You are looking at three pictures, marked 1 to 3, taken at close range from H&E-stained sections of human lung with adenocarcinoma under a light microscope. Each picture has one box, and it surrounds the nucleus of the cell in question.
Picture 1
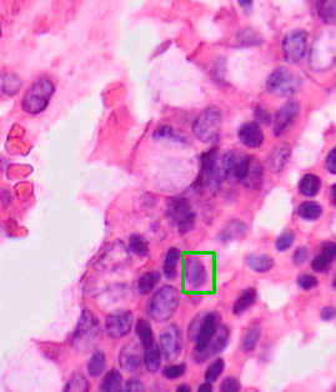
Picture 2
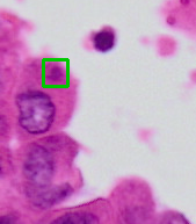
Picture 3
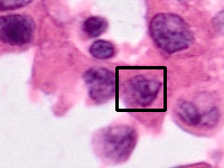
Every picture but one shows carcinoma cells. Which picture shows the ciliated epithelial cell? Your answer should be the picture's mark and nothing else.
1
